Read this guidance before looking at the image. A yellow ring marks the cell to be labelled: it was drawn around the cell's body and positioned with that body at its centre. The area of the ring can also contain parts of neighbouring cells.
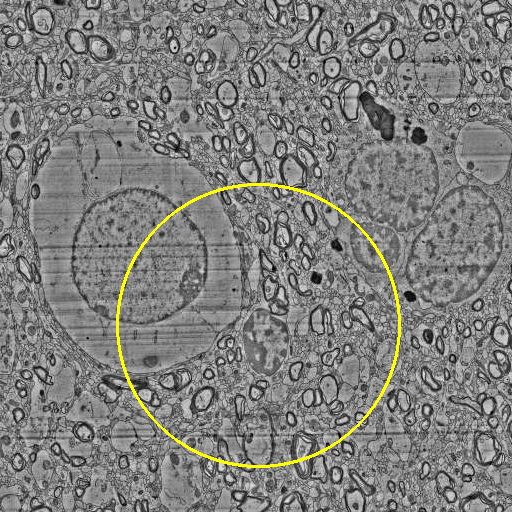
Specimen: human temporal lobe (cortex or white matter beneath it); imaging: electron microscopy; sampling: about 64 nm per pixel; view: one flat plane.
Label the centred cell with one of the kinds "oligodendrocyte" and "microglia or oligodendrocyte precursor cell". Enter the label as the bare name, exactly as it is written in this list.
microglia or oligodendrocyte precursor cell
